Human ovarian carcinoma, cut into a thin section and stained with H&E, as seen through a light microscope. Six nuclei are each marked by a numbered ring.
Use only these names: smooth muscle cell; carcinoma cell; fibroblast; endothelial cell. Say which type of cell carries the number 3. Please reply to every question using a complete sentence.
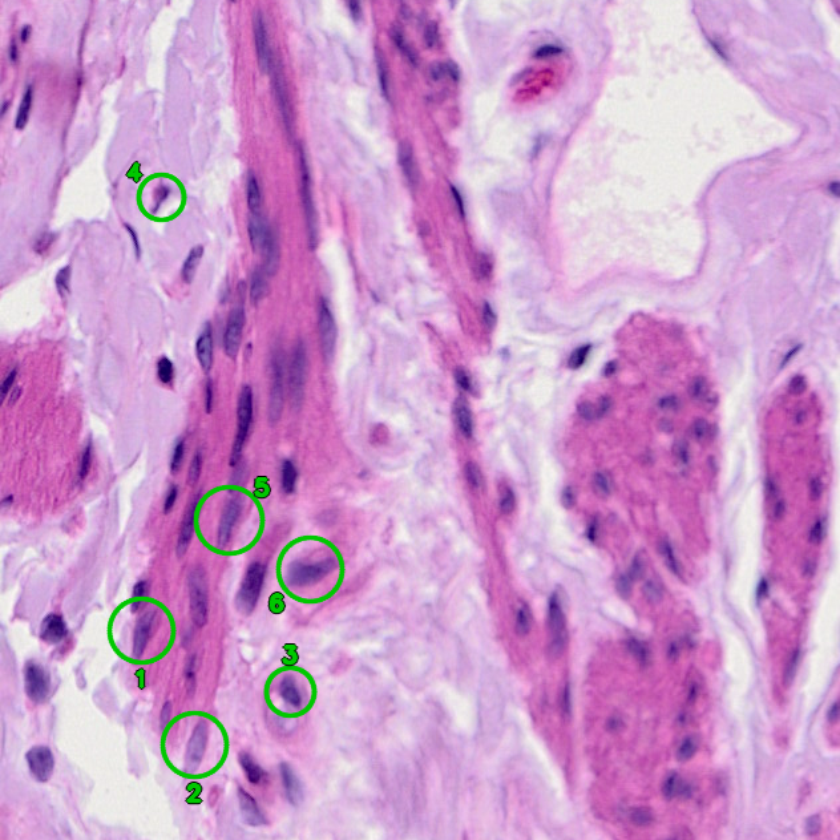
Of the numbered cells, the one labelled 3 is an endothelial cell.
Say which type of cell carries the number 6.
In this section, number 6 marks a smooth muscle cell.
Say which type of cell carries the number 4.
The cell referenced by the number 4 is a fibroblast in this field.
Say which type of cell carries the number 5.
Classified as a smooth muscle cell is the cell with the number 5.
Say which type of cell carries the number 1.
Within this field of view, the cell labelled 1 is a smooth muscle cell.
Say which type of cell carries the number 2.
Here the cell numbered 2 is a smooth muscle cell.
